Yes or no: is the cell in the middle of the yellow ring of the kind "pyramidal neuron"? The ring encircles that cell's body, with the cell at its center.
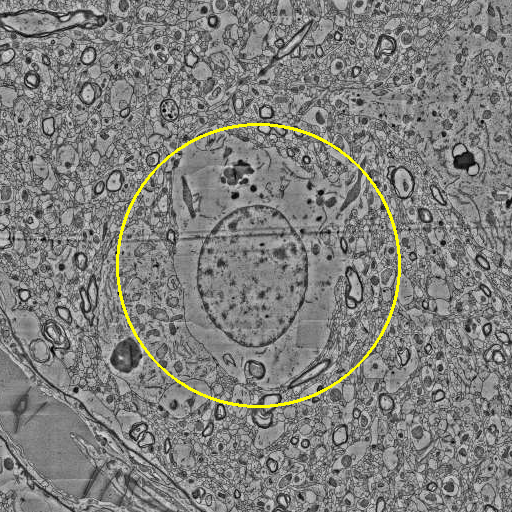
no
